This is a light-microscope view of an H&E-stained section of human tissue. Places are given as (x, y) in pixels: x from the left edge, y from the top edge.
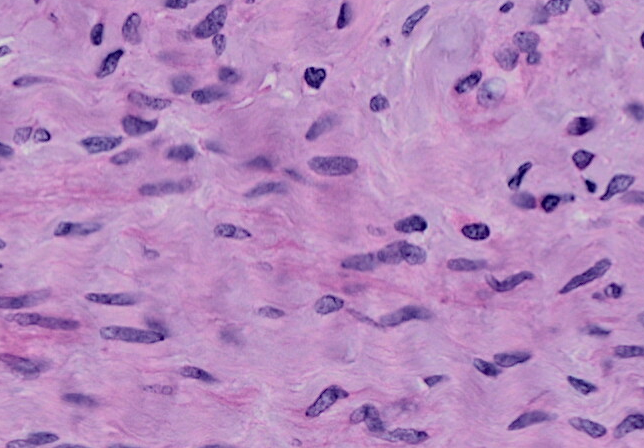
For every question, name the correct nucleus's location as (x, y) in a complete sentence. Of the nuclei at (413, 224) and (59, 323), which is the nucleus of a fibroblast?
The nucleus at (413, 224) is the one of the two that belongs to a fibroblast.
